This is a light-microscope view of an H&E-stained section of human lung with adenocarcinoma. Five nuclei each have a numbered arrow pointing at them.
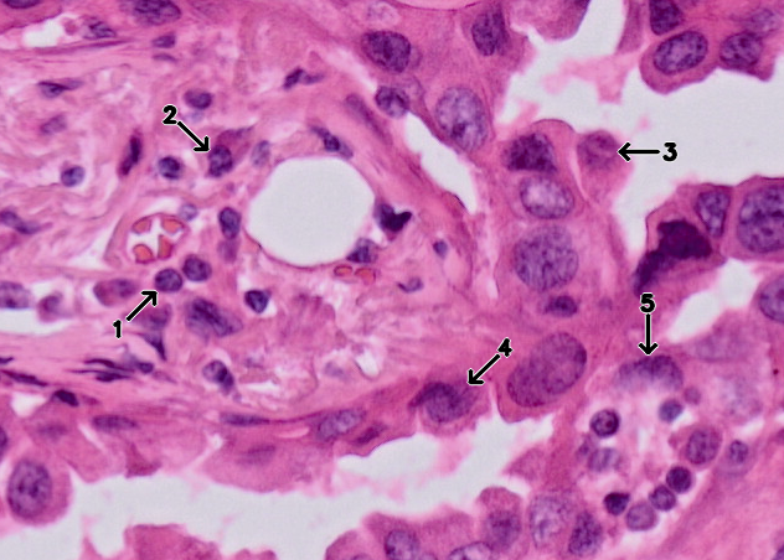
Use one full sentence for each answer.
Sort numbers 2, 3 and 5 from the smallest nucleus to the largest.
The order from the smallest nucleus to the largest is 2, 3, 5.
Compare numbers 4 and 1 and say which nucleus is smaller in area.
Number 1 is smaller, since number 4 takes up about 3 times as much area.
